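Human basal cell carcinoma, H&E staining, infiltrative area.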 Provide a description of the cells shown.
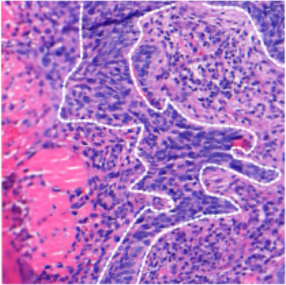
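Tumor tissue of densely packed cells with dark purple nuclei forms irregular, angular strands and islands with jagged borders that extend into the surrounding stroma. The stroma between them is cellular, with many spindle-shaped cells, and bright pink bundles of fibers lie at the lower left.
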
